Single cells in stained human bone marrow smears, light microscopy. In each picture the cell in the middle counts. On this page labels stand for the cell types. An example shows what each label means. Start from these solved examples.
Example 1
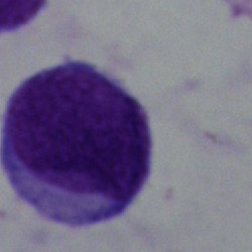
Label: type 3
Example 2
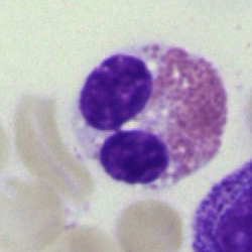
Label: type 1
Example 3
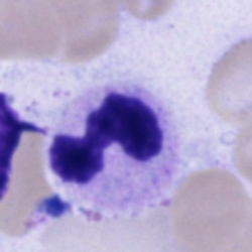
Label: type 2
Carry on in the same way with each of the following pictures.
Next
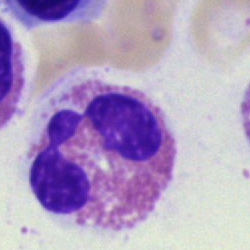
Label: type 1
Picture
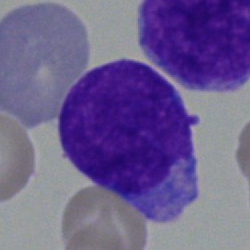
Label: type 3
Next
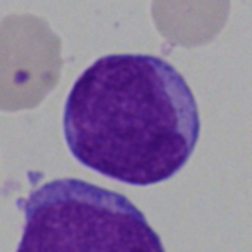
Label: type 3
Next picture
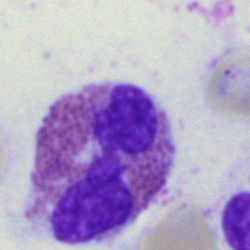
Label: type 1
